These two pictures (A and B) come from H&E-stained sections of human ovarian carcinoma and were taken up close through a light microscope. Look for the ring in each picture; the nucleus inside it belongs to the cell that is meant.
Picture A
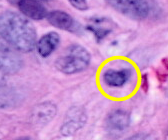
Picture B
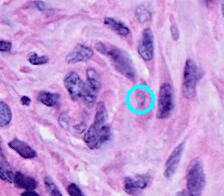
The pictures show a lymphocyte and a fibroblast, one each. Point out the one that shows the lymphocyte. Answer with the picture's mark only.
A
